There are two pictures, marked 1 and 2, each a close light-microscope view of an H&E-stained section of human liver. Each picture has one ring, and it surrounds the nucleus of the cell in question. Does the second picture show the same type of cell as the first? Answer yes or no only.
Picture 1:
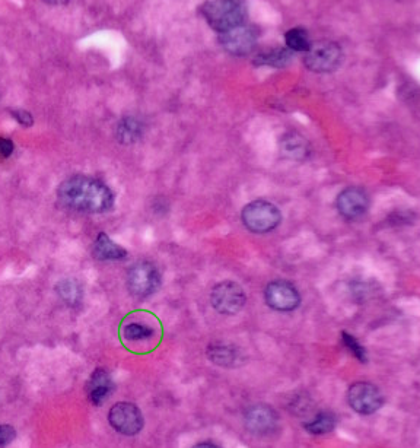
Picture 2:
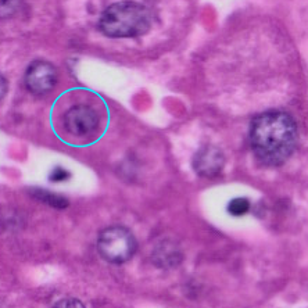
no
